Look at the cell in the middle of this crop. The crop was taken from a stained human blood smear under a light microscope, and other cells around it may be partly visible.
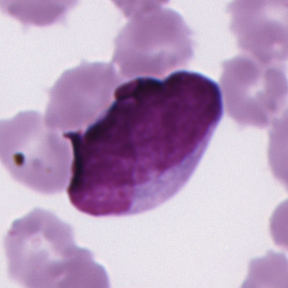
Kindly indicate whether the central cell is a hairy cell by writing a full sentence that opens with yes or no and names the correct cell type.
No, that is not a hairy cell; the middle cell is a myeloblast.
